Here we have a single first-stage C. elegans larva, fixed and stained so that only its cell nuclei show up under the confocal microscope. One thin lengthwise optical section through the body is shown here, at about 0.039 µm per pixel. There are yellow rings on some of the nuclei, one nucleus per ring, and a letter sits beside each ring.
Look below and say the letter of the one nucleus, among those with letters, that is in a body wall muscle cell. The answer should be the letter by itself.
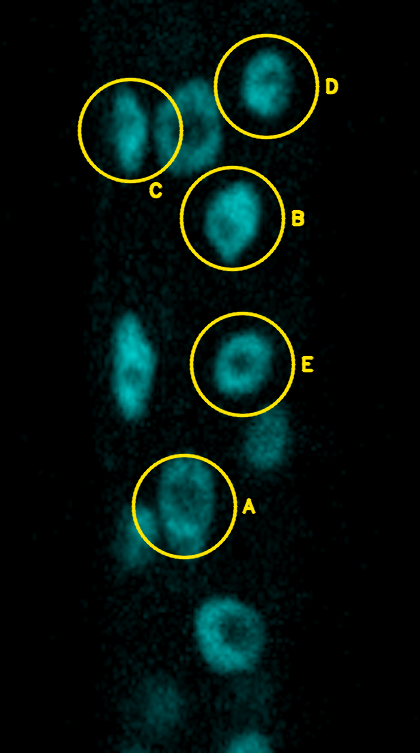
C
